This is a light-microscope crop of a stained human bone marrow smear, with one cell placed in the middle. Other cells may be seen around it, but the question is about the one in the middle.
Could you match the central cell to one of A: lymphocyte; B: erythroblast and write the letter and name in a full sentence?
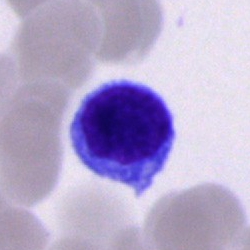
Located in the middle of the crop is a lymphocyte, and option A is therefore correct.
